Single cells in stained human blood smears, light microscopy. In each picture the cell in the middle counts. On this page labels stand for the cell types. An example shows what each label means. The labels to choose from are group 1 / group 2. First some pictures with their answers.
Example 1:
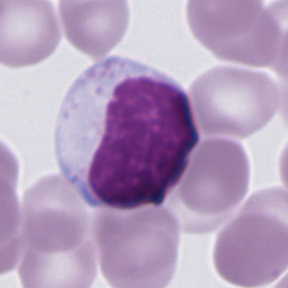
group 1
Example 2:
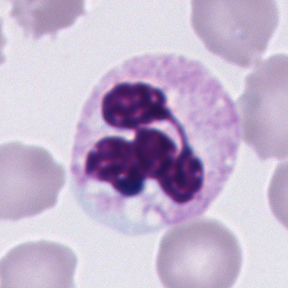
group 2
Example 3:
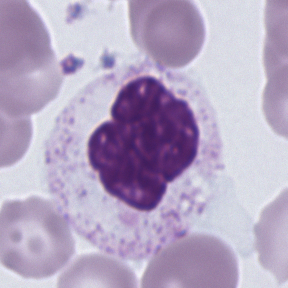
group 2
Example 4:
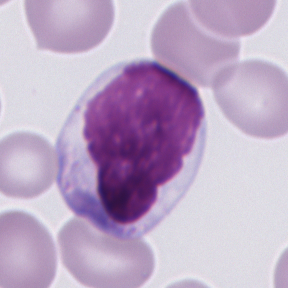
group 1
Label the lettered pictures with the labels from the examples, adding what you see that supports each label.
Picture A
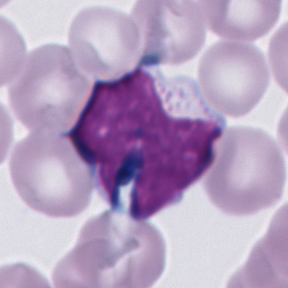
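group 1. Evidence: The nucleus fills most of the cell.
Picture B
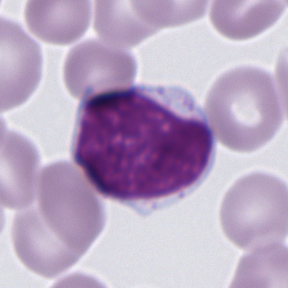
group 1. Evidence: The cytoplasm is a scant pale bluish-grey rim, widest at the upper right of the cell.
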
